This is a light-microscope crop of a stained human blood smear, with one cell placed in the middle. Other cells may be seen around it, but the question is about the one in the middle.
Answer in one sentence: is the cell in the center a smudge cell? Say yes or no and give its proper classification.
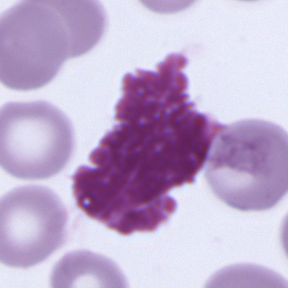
Yes, the cell in the center of this crop is a smudge cell.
